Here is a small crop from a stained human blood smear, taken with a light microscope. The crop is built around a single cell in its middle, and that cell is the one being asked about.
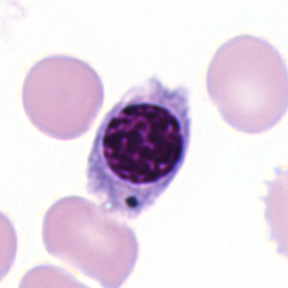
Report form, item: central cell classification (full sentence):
The central cell, amid any neighbouring cells, is an erythroblast.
